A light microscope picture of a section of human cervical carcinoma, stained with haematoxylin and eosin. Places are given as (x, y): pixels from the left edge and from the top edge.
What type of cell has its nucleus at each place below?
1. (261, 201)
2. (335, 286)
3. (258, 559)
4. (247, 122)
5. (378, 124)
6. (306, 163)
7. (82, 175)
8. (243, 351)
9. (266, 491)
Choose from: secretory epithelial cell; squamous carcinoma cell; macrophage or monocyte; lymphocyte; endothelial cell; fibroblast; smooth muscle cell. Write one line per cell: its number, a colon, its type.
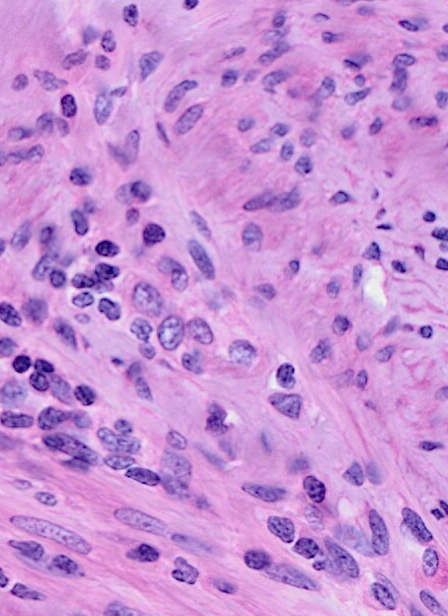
1: smooth muscle cell
2: smooth muscle cell
3: lymphocyte
4: smooth muscle cell
5: smooth muscle cell
6: smooth muscle cell
7: lymphocyte
8: endothelial cell
9: fibroblast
